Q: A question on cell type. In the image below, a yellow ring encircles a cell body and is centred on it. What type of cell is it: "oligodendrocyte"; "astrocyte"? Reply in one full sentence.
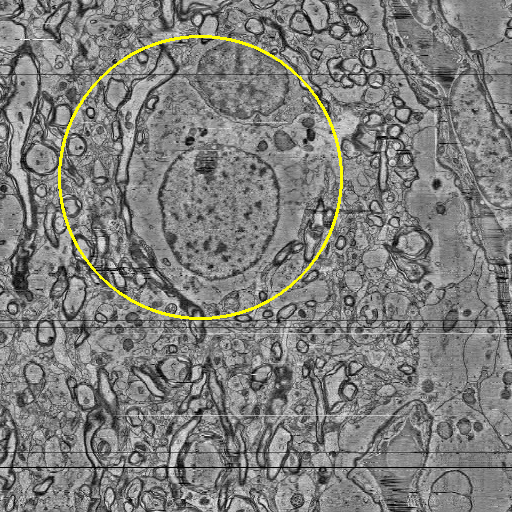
It is an astrocyte whose cell body sits at the centre of the yellow ring in the image.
